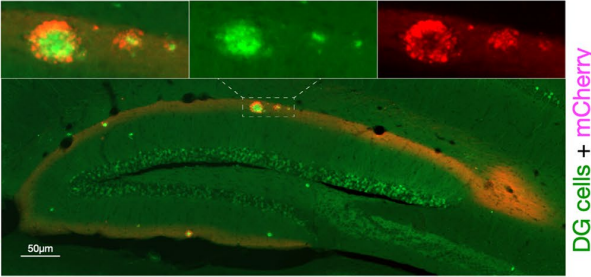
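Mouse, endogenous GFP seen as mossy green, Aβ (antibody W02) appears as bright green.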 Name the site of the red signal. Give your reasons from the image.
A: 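Red fluorescence forms a band along the outer edge of the curved layer. The band lies away from the densely packed green cell bodies.
Outer molecular layer.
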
